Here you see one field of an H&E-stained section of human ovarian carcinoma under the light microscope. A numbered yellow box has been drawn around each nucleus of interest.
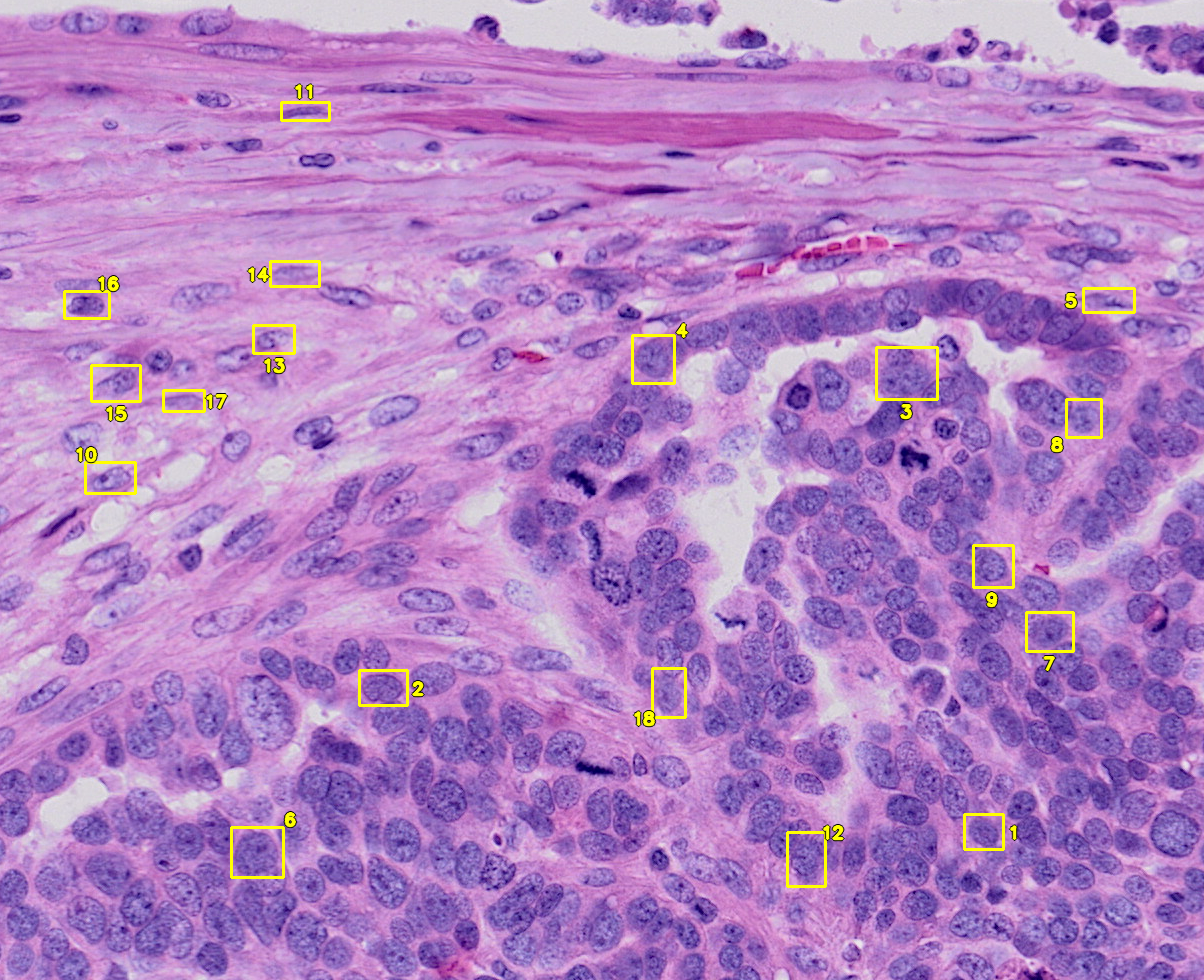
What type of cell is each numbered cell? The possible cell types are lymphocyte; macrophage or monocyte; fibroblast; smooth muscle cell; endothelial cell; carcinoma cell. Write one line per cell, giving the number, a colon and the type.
1: carcinoma cell
2: carcinoma cell
3: carcinoma cell
4: carcinoma cell
5: fibroblast
6: carcinoma cell
7: carcinoma cell
8: carcinoma cell
9: carcinoma cell
10: fibroblast
11: fibroblast
12: carcinoma cell
13: fibroblast
14: fibroblast
15: fibroblast
16: macrophage or monocyte
17: fibroblast
18: carcinoma cell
